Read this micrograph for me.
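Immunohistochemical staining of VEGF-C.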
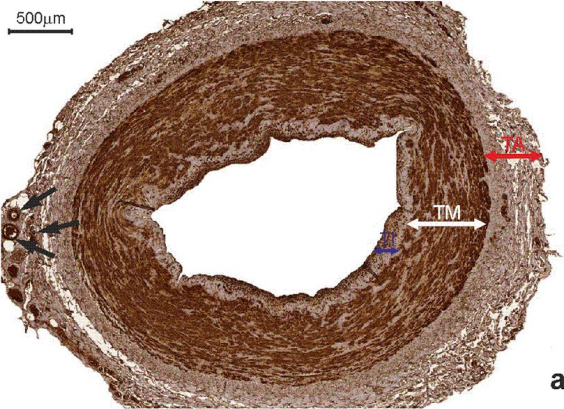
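The muscle cells are densely packed and elongated, running in concentric sweeps around the wide, irregular lumen. On the lumen side lies a thin, somewhat paler inner layer, and outside the muscle lies a looser, paler outer coat of connective tissue. In that outer coat, near a cluster of empty-looking fat cells, small blood vessels appear as little brown-rimmed rings.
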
